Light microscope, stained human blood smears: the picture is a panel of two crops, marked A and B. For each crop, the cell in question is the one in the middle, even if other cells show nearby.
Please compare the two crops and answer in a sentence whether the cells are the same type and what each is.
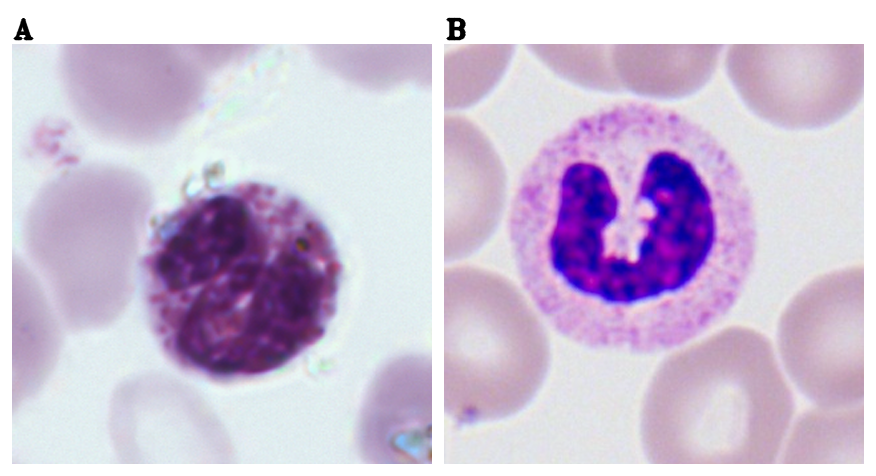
No, crop A represents an eosinophil, and crop B represents a band neutrophil.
